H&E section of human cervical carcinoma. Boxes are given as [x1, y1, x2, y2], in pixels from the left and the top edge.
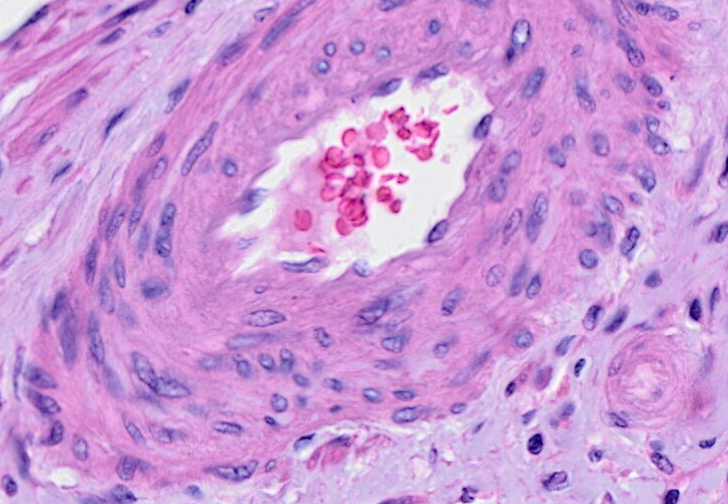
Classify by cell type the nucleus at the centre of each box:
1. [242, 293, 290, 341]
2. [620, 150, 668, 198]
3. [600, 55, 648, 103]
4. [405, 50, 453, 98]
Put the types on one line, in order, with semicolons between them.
smooth muscle cell; smooth muscle cell; smooth muscle cell; endothelial cell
